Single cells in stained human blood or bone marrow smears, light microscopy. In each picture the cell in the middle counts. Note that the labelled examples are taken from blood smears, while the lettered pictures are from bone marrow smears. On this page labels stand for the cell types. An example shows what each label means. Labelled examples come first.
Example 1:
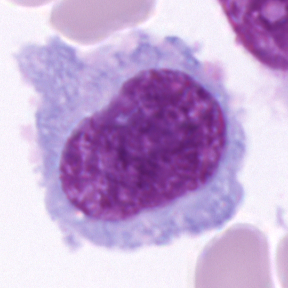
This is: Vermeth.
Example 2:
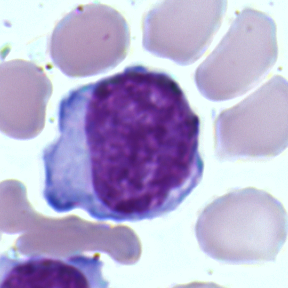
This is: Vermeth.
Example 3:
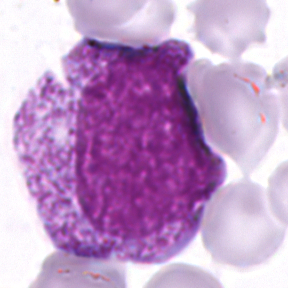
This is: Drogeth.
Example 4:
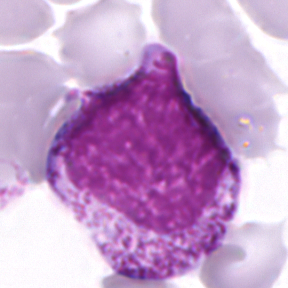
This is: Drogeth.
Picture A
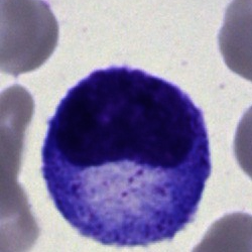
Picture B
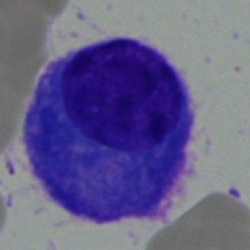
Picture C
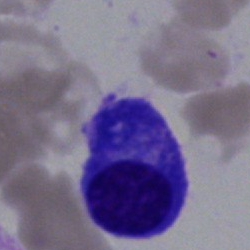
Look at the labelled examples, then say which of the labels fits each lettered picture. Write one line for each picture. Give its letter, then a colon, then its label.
A: Drogeth.
B: Vermeth.
C: Vermeth.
